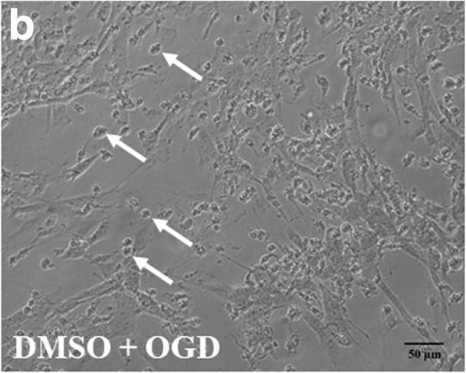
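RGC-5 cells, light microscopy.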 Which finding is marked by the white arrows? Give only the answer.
Deformed.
